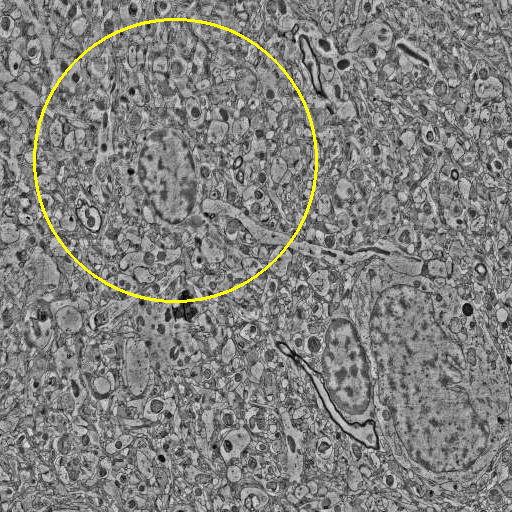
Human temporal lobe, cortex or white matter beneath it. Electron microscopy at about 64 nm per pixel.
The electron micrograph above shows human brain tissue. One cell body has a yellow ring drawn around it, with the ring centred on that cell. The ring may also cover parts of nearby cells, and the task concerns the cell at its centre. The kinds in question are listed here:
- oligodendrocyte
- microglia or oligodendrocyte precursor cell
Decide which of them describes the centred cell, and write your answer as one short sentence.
The centred cell is a microglial cell or oligodendrocyte precursor cell.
